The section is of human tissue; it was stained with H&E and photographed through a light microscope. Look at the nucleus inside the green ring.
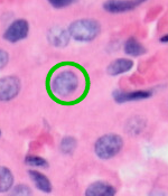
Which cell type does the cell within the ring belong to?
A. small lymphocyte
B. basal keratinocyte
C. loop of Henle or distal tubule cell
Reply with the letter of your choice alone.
C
